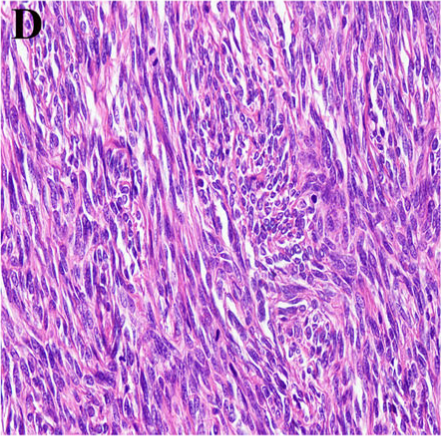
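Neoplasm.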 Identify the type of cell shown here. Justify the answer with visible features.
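Elongated cells with elongated nuclei. Cells packed closely in parallel fascicles. Little stroma between the cells.
Answer: spindle cells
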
